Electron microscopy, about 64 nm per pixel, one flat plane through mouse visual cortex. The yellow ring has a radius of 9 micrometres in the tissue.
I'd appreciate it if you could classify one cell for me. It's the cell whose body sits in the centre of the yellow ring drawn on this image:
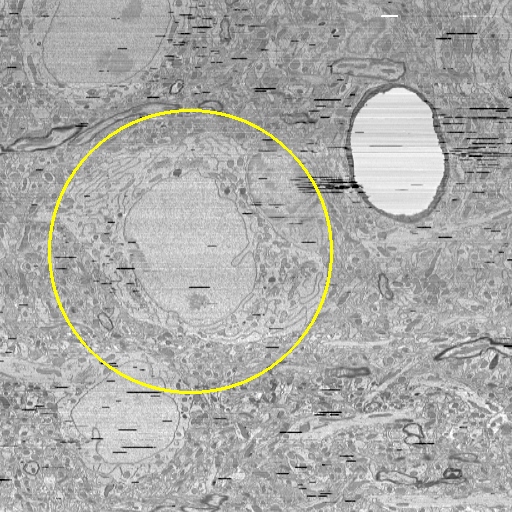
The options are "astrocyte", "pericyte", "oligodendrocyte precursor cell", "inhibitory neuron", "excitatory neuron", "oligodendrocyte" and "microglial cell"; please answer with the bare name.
inhibitory neuron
